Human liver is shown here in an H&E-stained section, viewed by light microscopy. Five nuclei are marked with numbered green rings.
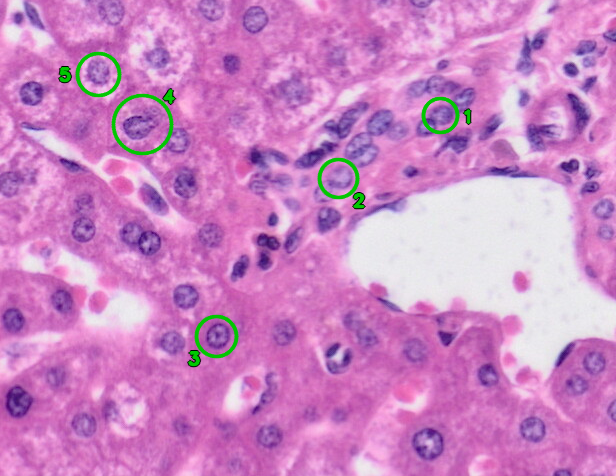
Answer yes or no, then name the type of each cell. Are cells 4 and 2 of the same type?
No, cell 4 is a hepatocyte, and cell 2, in contrast, is a cholangiocyte.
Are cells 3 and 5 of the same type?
Yes, in terms of cell type, cells 3 and 5 are both hepatocytes.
